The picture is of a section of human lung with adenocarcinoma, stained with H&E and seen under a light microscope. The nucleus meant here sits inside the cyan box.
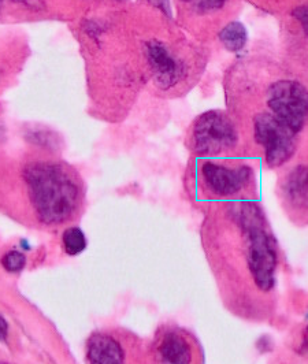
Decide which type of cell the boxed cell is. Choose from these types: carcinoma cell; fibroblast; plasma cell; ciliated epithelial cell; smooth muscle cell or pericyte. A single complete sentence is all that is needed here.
At the level of cell identity, the boxed cell is a carcinoma cell.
